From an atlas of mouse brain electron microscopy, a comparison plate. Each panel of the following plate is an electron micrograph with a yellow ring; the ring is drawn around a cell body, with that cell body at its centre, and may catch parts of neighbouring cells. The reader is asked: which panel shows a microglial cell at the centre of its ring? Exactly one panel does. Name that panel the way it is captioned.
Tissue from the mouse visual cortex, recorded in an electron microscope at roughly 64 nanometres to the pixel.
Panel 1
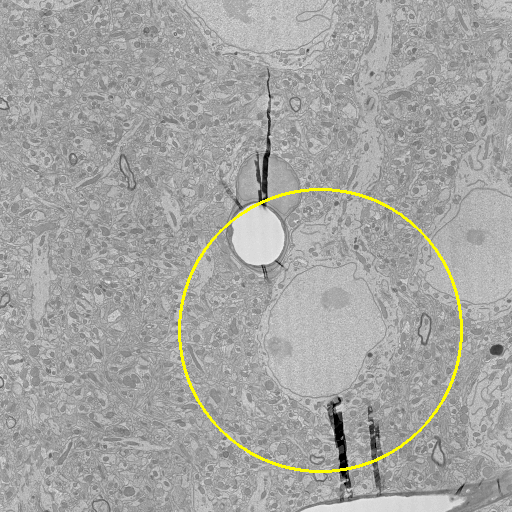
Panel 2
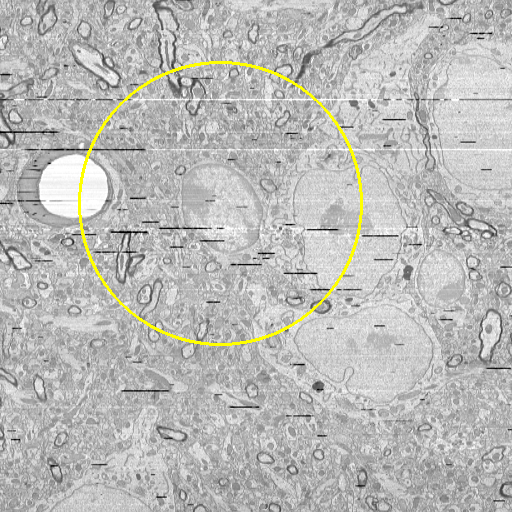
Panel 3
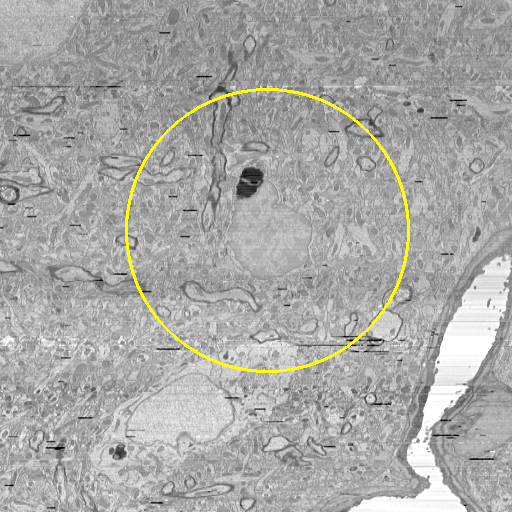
Panel 3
